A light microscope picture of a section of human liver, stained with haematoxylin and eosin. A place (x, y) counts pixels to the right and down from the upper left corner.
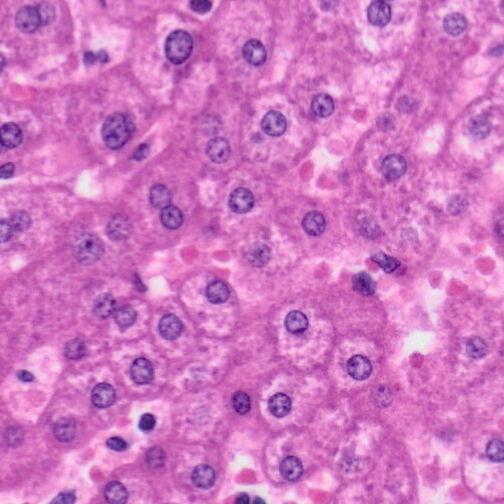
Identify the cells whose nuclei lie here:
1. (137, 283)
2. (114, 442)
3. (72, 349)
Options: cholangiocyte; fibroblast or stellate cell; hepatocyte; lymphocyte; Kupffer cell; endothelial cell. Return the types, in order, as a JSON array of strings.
["endothelial cell", "lymphocyte", "hepatocyte"]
